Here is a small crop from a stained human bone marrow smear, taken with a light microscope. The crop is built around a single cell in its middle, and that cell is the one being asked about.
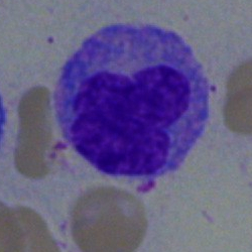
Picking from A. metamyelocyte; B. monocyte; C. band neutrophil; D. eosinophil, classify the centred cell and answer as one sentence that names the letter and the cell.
The cell at the centre is a monocyte, and option B accordingly is correct.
